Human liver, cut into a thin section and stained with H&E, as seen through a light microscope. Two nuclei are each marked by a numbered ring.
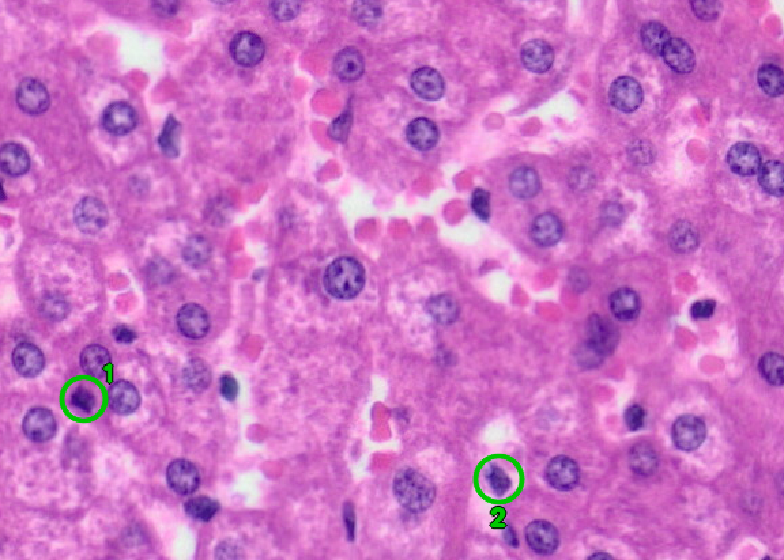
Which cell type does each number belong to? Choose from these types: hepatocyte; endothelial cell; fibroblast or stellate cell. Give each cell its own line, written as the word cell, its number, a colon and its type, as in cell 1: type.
cell 1: fibroblast or stellate cell
cell 2: endothelial cell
